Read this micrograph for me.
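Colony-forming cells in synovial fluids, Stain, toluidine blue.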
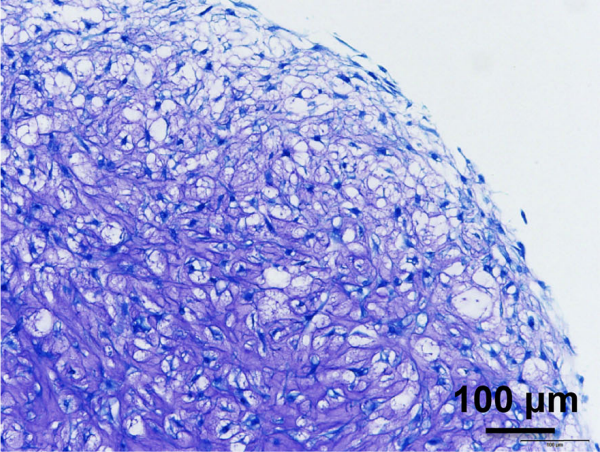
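A rounded mass of tissue with a purple-blue stained matrix in which small dark nuclei lie scattered, many sitting within pale rounded spaces, while a thin rim of flattened, elongated cells runs along its outer edge. This is cartilage, with cells embedded in lacunae of a matrix and a flattened cell layer at the surface.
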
